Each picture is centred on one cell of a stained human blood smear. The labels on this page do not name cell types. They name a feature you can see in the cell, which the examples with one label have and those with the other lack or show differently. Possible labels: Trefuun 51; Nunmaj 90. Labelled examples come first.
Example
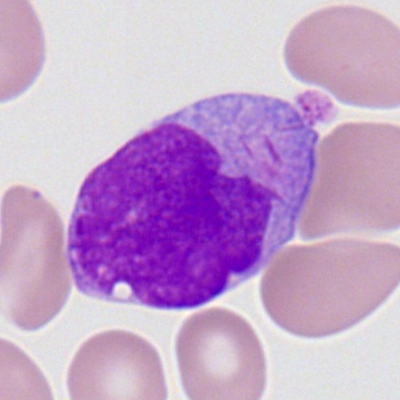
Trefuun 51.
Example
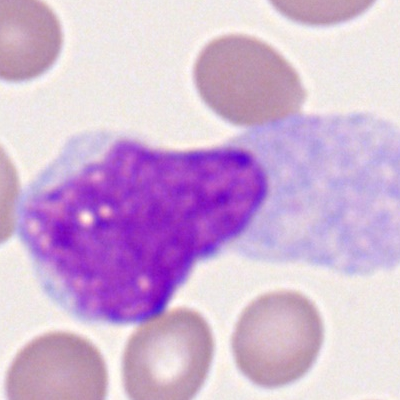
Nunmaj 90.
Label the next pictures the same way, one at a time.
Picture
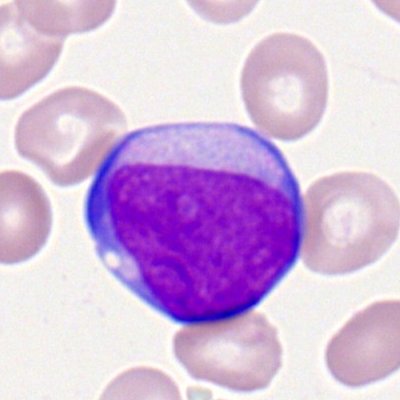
Trefuun 51.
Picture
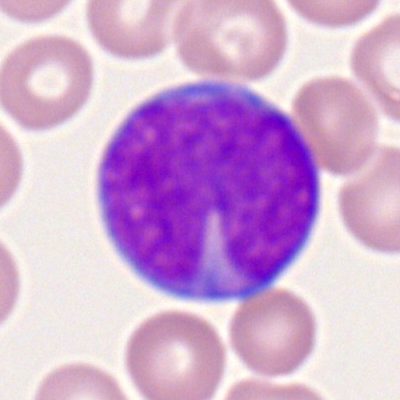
Nunmaj 90.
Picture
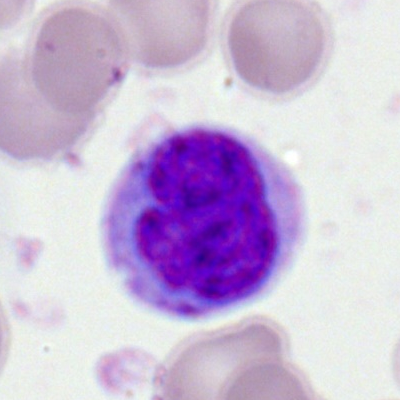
Nunmaj 90.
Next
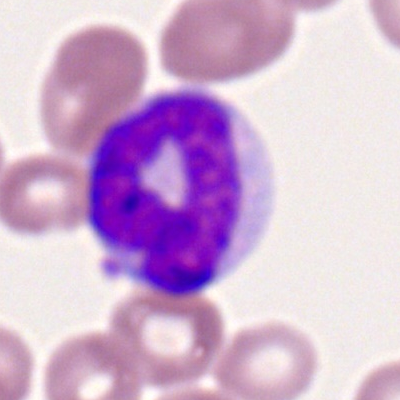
Nunmaj 90.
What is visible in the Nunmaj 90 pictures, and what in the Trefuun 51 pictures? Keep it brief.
Seen in Nunmaj 90: no vacuoles; seen in Trefuun 51: vacuoles present.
